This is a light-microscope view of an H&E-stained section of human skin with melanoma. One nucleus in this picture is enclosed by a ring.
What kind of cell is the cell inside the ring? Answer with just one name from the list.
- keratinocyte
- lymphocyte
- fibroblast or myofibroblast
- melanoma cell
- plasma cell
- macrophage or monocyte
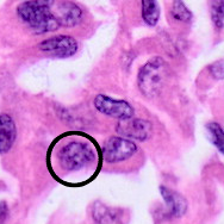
melanoma cell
